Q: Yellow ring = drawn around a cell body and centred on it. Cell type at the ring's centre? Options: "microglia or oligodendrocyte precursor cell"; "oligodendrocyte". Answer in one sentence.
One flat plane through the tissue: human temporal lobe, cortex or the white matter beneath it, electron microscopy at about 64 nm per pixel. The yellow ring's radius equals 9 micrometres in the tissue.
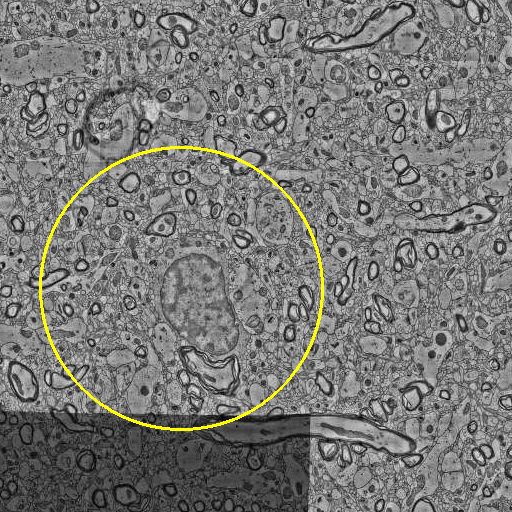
Centred in the ring is an oligodendrocyte.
